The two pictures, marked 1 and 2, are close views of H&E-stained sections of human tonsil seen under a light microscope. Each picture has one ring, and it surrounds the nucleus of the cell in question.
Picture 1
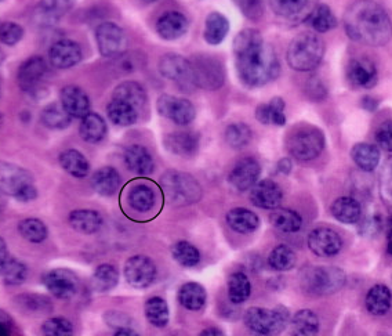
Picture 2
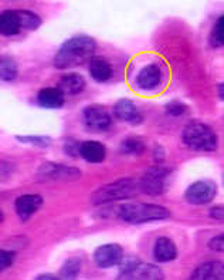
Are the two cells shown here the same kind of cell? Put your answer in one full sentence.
Yes, the two pictures both show plasma cells.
